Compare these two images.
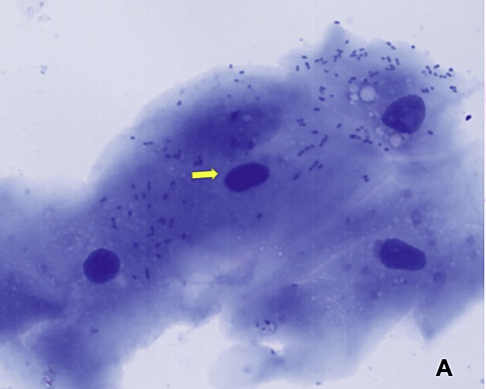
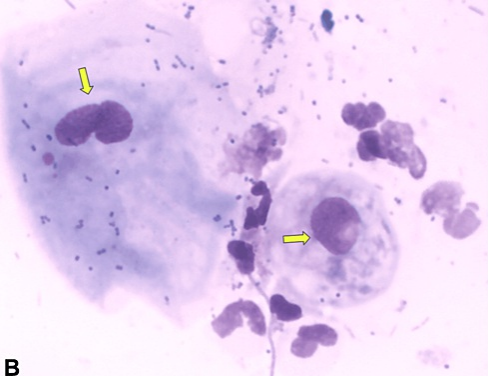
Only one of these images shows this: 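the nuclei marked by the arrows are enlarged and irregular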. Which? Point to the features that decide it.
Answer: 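Second image: the marked nuclei are large, one with an indented, irregular outline. First image: the marked nucleus is small, oval and smooth in a broad flat cell.
The second image.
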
